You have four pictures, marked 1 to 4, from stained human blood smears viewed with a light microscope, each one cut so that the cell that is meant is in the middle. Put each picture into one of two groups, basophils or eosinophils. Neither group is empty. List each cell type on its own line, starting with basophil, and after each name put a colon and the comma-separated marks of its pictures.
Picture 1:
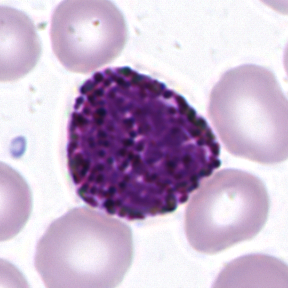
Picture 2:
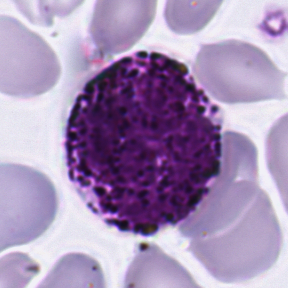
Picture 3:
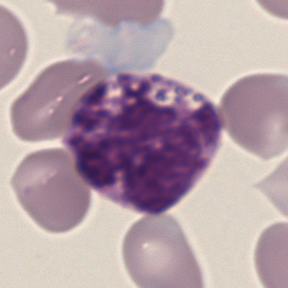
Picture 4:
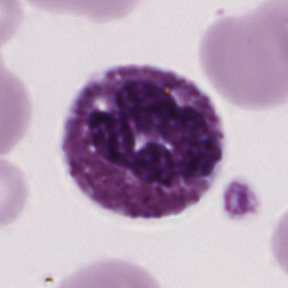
basophil: 1, 2, 3
eosinophil: 4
